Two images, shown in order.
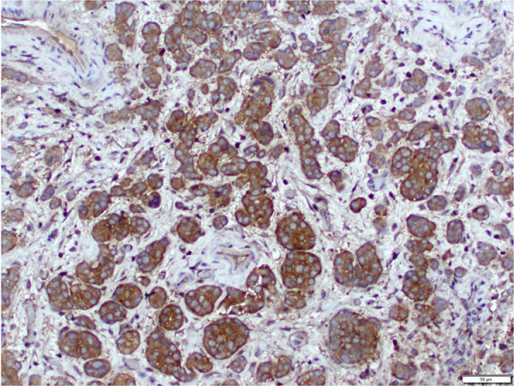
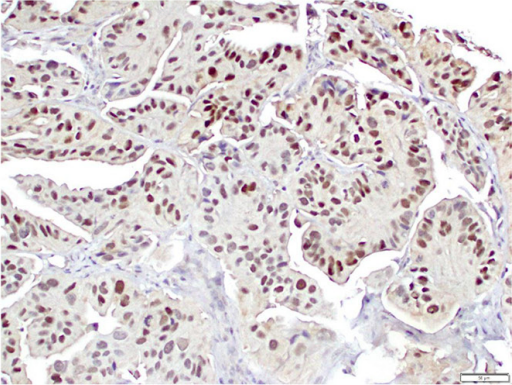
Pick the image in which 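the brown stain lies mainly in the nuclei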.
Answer: The second image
